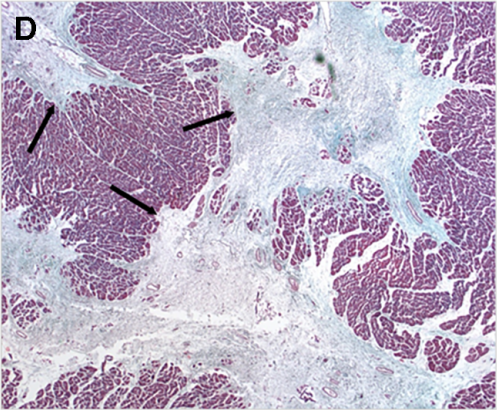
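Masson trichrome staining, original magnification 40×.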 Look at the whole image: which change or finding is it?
multifocal myocardial fibrosis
